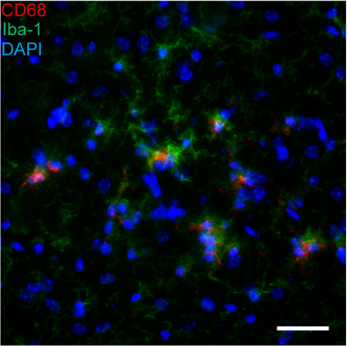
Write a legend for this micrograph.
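This fluorescence image shows microglia in brain tissue among many blue nuclei. The green cells have small bodies with fine, branching processes reaching into the surrounding tissue. Red puncta lie within several of the green cell bodies, often close to their nuclei. Some green cells sit in small clusters while others are scattered singly.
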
